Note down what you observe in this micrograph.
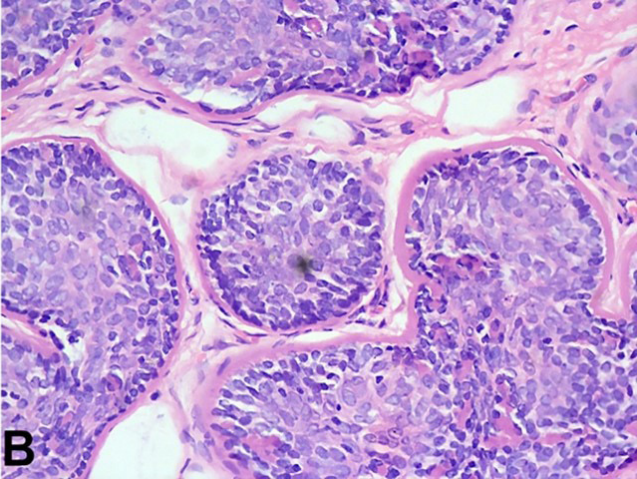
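This high-power view shows rounded nests of basaloid tumor cells set in a loose, pale stroma. At the edge of each nest small, dark nuclei line up in a palisade, while the cells in the centre have larger, paler oval nuclei. Each nest is wrapped by a thick, smooth, glassy pink band that keeps it apart from the neighbouring nests.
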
